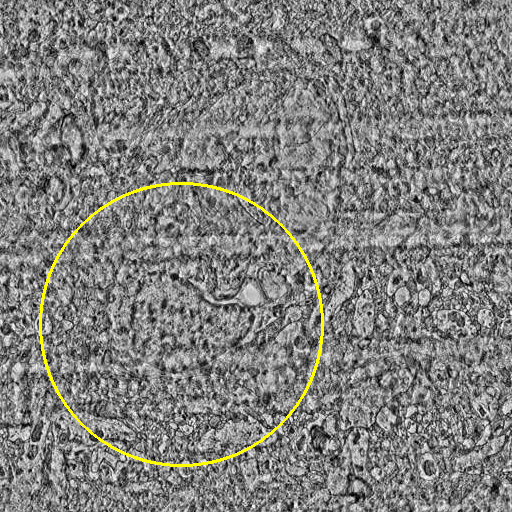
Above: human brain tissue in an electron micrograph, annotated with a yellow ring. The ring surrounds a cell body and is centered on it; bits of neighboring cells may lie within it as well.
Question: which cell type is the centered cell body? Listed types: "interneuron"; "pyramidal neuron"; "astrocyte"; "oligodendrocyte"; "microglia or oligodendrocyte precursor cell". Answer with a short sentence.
The centered cell body is a microglial cell or oligodendrocyte precursor cell.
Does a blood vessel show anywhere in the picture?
Yes, the image shows a blood vessel.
